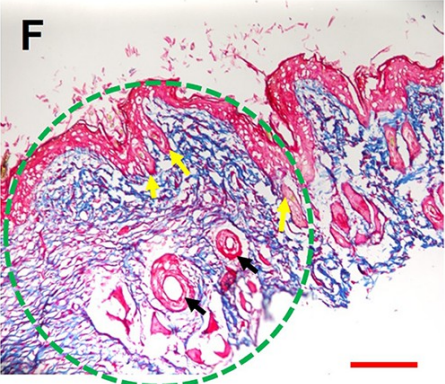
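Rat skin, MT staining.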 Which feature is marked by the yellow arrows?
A: hair follicles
